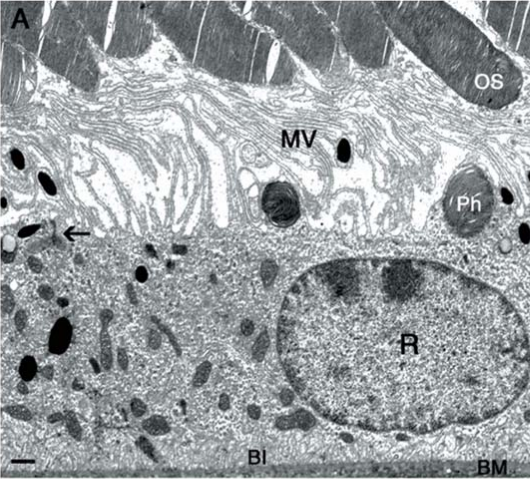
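A retinal pigment epithelium cell sits on Bruch's membrane, with a large oval nucleus and cytoplasm holding many mitochondria and dense black melanin granules. From its apical surface long microvilli reach up among the stacked photoreceptor outer segments, with a rounded phagosome among them, while basal infoldings line the base of the cell.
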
